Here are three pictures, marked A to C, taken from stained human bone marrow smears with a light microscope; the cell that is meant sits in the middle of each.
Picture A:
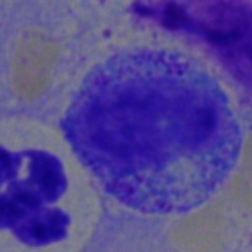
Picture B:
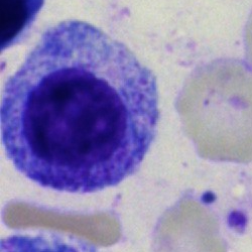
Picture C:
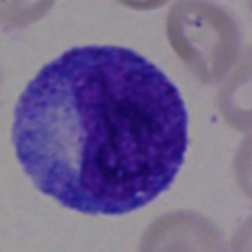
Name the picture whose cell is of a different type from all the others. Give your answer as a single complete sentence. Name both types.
Picture C differs, because its cell is a promyelocyte and the rest are myelocytes.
